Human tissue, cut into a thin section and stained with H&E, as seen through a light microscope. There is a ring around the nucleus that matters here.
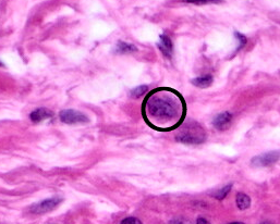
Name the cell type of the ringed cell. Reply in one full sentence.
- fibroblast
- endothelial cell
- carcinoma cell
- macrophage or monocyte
Typologically, the ringed cell is an endothelial cell in this section.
